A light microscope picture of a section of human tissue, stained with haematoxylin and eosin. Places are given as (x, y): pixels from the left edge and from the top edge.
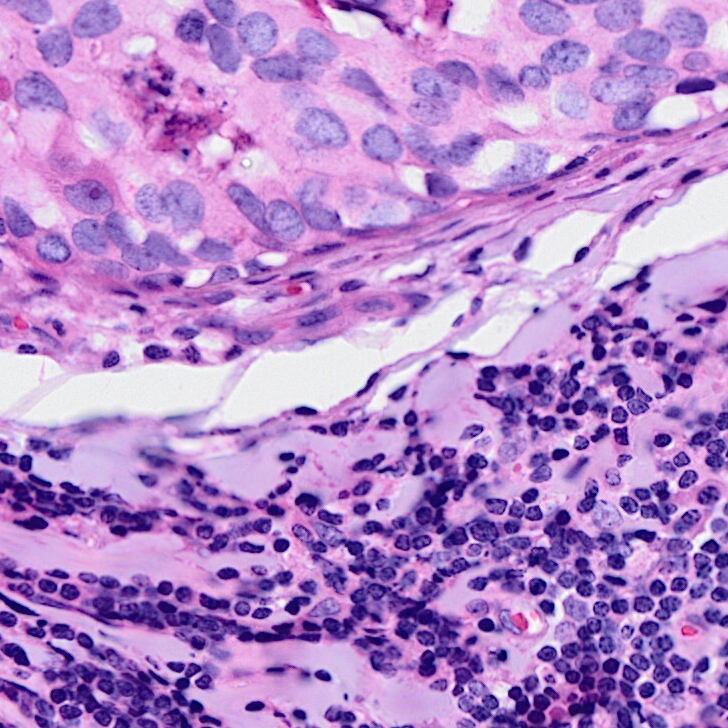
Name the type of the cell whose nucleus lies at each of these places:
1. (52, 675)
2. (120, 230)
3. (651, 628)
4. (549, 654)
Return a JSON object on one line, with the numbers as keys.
{"1": "lymphocyte", "2": "carcinoma cell", "3": "lymphocyte", "4": "lymphocyte"}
